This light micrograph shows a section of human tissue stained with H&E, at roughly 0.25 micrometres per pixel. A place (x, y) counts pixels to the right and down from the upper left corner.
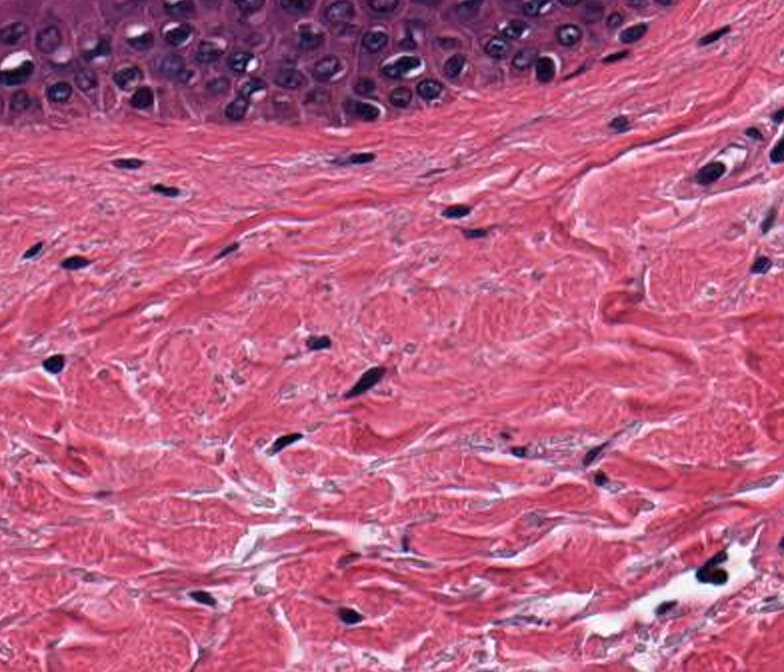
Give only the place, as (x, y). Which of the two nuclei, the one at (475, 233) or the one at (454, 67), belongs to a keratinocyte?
(454, 67)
